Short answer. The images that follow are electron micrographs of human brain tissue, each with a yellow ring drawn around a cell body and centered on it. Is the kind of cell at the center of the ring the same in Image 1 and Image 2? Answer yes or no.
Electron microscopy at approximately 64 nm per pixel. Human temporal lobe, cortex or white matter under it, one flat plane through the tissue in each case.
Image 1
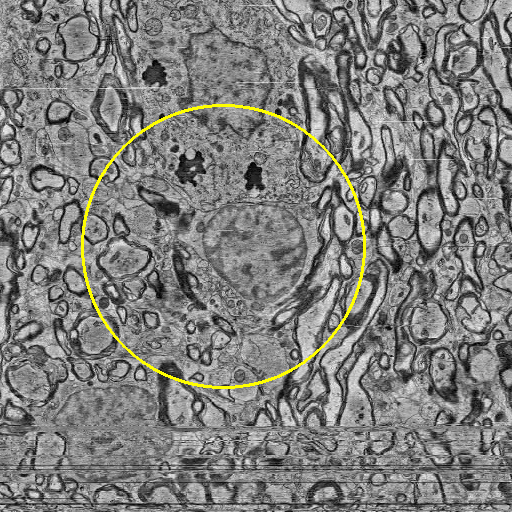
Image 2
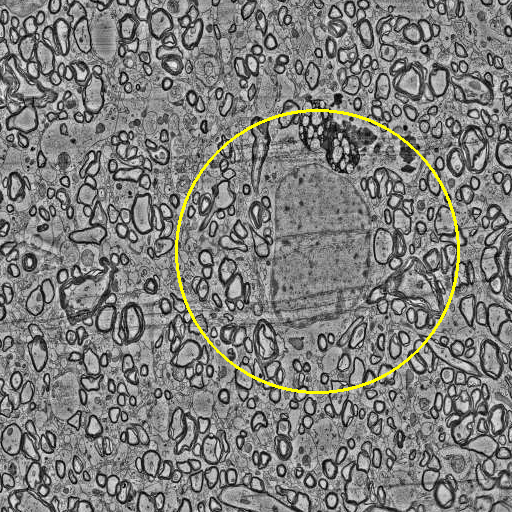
no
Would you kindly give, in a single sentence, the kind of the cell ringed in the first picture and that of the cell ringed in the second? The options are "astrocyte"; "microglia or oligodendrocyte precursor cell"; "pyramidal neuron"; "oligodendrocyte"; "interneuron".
The second cell is an astrocyte, and the first cell is an oligodendrocyte.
